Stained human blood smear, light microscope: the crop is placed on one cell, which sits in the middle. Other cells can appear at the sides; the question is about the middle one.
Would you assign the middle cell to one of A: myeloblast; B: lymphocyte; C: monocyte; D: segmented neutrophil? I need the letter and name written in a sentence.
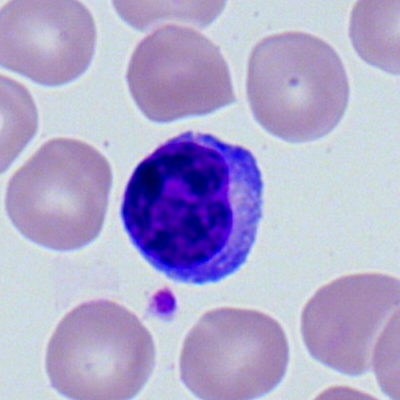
The correct response is option B, naming the cell in the middle as a lymphocyte.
